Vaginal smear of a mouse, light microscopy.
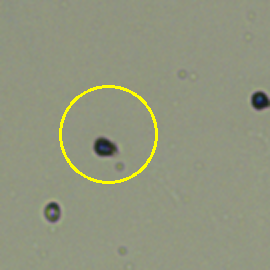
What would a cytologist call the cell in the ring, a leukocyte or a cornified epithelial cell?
A cytologist would call it a leukocyte.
